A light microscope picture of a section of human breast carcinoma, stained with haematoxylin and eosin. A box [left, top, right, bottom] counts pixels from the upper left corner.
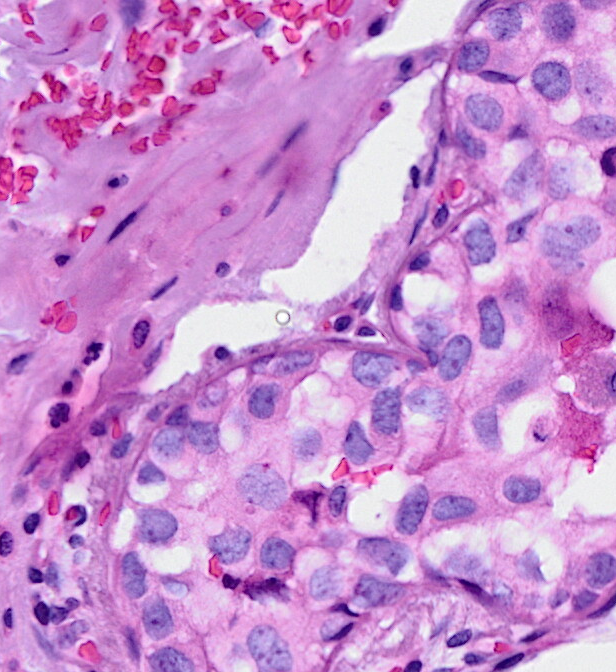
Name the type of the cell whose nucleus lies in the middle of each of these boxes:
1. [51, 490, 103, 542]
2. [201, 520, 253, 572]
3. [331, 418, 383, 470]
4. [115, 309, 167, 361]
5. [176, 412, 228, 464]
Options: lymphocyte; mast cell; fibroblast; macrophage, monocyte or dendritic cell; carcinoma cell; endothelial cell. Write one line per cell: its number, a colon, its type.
1: endothelial cell
2: carcinoma cell
3: carcinoma cell
4: mast cell
5: carcinoma cell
